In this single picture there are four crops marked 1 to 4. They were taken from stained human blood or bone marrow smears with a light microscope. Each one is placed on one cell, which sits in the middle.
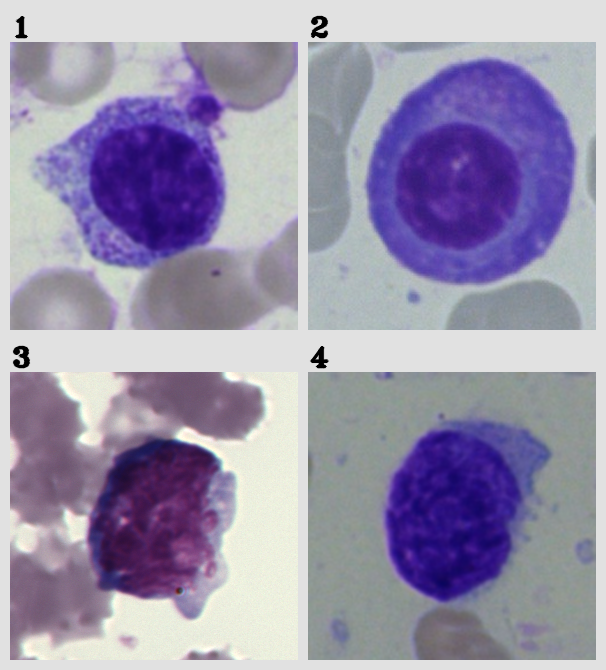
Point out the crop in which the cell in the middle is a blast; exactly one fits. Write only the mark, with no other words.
3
